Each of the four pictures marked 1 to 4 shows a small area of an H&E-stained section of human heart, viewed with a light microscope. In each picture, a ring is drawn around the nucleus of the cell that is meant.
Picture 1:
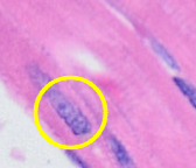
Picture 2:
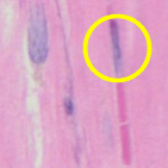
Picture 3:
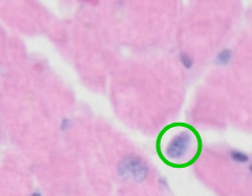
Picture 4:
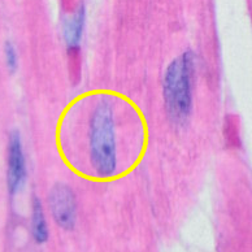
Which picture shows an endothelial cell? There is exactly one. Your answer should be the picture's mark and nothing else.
2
